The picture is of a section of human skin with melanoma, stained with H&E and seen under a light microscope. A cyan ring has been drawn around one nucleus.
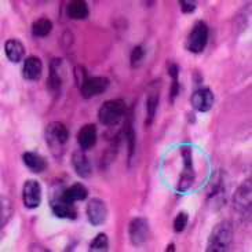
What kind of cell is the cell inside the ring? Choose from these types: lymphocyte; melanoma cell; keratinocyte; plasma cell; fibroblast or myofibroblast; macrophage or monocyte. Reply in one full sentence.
Students should answer that the cell inside the ring is a fibroblast or myofibroblast.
